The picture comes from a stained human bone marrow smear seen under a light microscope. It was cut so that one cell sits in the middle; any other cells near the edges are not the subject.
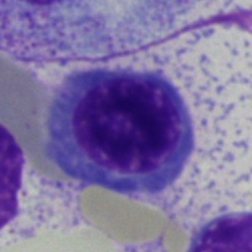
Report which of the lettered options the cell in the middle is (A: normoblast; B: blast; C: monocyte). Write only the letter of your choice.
A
